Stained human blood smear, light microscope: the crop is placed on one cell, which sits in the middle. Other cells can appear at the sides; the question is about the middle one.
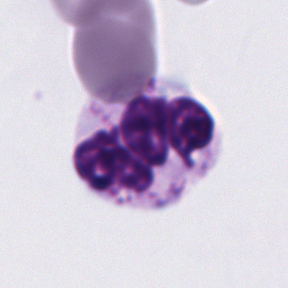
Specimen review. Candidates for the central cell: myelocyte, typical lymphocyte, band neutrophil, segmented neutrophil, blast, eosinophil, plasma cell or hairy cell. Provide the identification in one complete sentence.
This particular crop is centered on a segmented neutrophil.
